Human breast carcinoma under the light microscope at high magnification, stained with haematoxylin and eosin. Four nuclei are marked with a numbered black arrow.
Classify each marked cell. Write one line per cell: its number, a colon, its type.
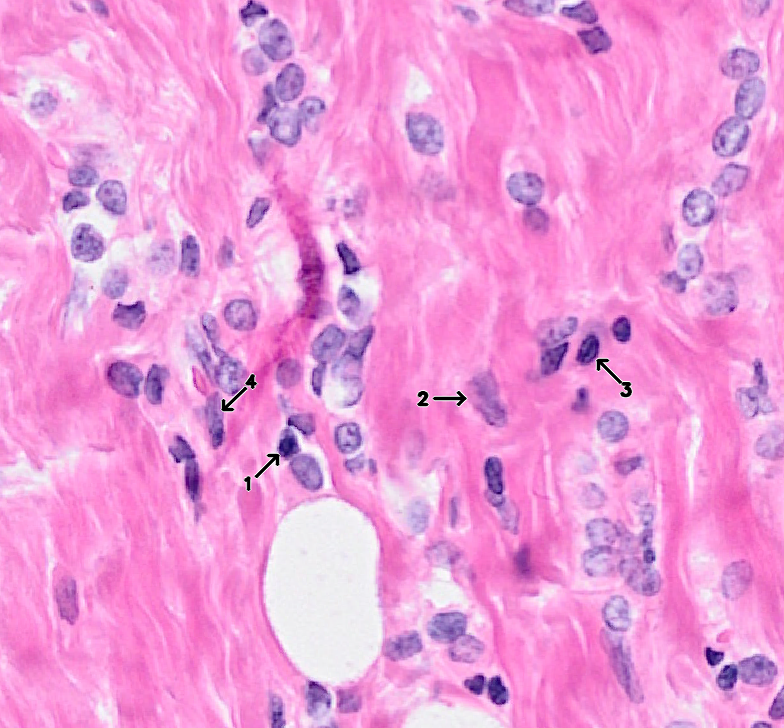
1: lymphocyte
2: fibroblast
3: lymphocyte
4: endothelial cell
